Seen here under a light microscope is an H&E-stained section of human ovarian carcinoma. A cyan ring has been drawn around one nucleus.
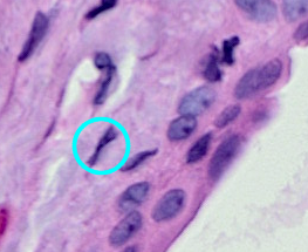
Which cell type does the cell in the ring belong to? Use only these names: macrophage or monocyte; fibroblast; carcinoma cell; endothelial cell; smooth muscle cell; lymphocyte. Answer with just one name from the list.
fibroblast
